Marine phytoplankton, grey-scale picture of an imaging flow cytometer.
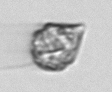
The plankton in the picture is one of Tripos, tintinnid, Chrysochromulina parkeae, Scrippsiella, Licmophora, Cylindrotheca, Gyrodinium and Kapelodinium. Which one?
Scrippsiella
